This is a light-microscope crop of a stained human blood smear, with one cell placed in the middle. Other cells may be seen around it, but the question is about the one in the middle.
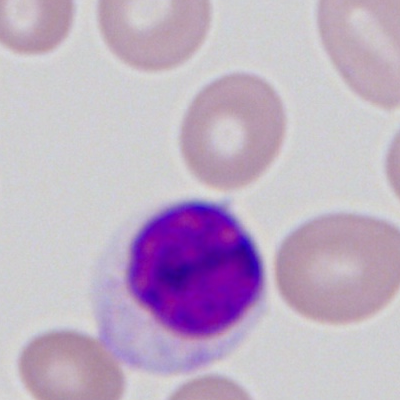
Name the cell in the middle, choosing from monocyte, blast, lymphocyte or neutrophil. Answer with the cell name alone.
lymphocyte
